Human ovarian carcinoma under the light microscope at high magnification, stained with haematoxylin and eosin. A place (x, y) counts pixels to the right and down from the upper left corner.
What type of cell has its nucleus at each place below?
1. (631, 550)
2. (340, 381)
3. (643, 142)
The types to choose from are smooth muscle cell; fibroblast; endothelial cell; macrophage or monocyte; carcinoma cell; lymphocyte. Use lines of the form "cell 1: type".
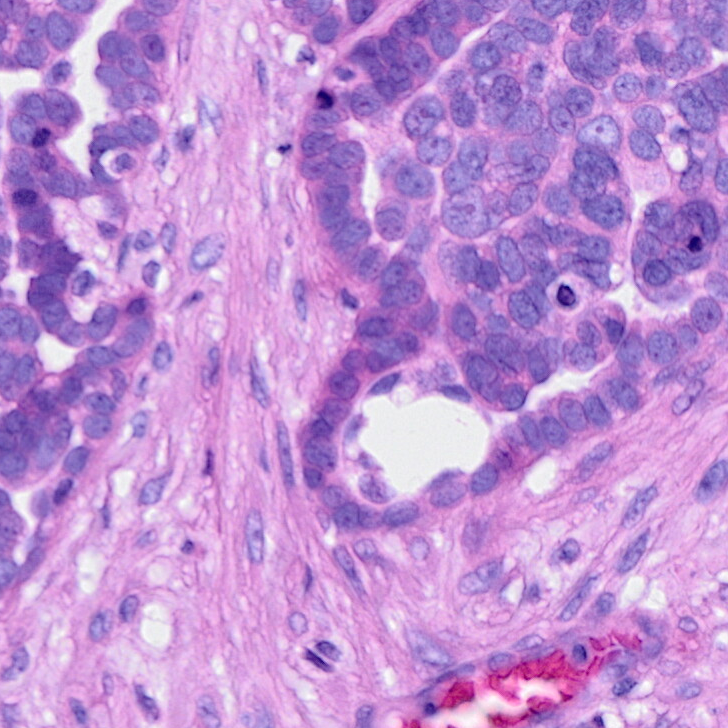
cell 1: fibroblast
cell 2: carcinoma cell
cell 3: carcinoma cell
